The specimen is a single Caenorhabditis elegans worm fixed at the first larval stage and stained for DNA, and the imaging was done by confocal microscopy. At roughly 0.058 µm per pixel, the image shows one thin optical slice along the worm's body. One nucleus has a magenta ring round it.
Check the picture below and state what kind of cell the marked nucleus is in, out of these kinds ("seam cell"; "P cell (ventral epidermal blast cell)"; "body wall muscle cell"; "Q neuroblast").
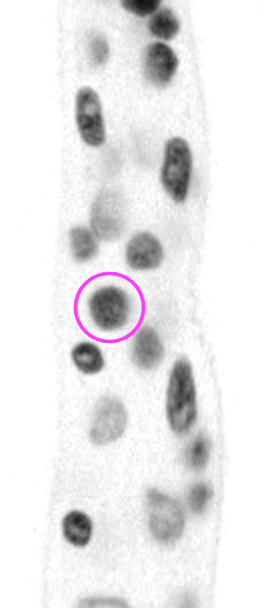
Q neuroblast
